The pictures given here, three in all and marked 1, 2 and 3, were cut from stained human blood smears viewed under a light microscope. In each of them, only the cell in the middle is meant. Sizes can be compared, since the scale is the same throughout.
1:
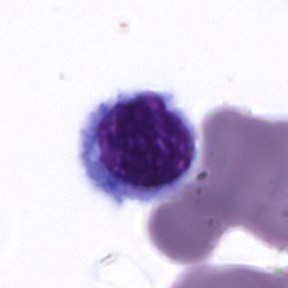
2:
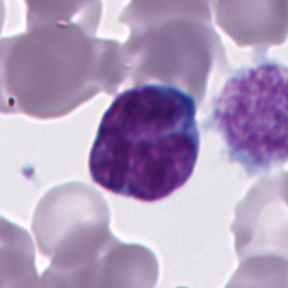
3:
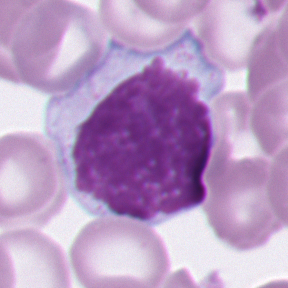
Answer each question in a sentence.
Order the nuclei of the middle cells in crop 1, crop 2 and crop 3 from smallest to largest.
Smallest first: 1, 2, 3.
